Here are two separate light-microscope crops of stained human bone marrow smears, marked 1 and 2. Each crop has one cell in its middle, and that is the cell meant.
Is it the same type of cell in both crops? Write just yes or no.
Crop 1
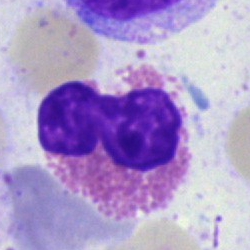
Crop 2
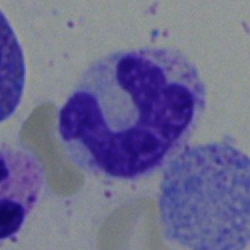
no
